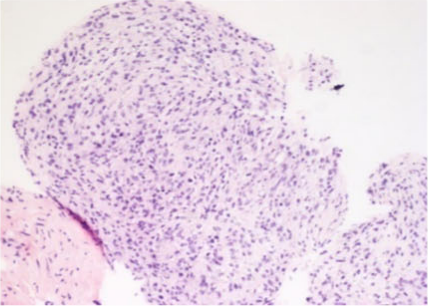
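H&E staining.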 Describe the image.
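Fragments of a highly cellular tumor are shown, made up of sheets of closely packed cells. The nuclei are oval to elongated, stained purple, and crowded together. The cytoplasm is scant and pale, so cell borders are hard to make out. The cells lie without any orderly layering or glandular arrangement, forming a patternless solid mass. The edges of the fragments are irregular, with small detached clusters nearby. At the lower left lies a separate fragment of pink, eosinophilic material with few nuclei. The background between fragments is empty.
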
